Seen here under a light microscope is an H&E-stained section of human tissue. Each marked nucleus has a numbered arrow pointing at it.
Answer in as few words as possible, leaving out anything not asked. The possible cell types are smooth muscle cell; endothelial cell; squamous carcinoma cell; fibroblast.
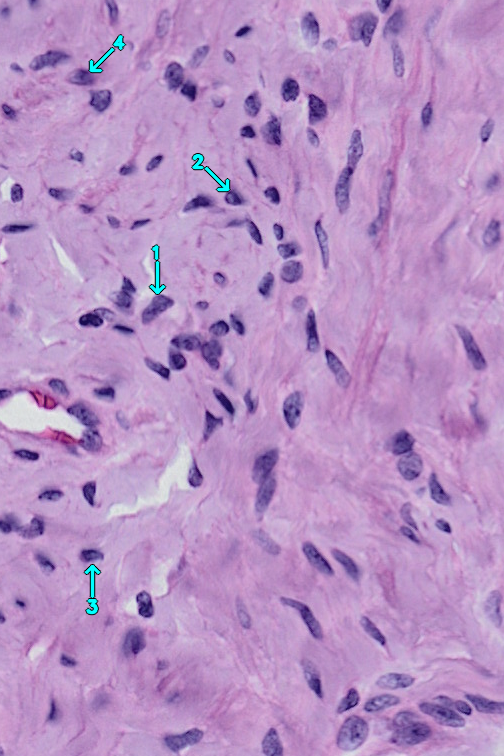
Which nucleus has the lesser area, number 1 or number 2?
2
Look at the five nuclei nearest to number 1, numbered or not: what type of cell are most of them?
fibroblast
